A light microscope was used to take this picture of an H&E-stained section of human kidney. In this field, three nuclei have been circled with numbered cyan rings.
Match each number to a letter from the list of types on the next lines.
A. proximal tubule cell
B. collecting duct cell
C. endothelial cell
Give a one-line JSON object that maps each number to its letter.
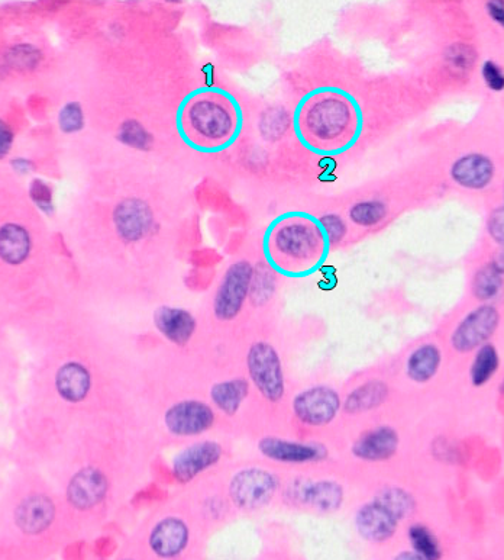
{"1": "A", "2": "A", "3": "B"}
